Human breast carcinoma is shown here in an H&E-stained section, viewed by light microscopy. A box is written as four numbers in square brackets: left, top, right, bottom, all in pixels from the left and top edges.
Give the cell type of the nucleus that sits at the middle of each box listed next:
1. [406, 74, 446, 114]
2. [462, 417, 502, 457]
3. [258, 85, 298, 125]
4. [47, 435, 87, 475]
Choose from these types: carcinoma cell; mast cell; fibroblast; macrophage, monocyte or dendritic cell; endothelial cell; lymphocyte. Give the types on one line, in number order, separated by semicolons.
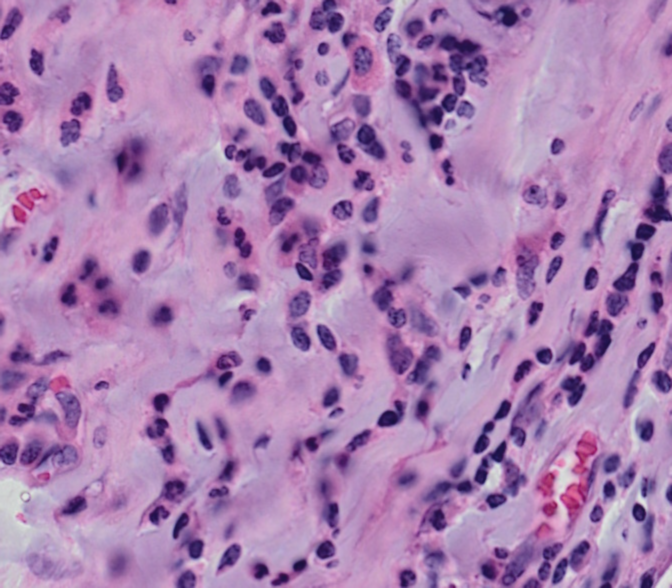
lymphocyte; lymphocyte; lymphocyte; endothelial cell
